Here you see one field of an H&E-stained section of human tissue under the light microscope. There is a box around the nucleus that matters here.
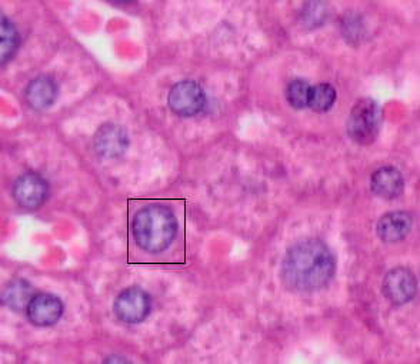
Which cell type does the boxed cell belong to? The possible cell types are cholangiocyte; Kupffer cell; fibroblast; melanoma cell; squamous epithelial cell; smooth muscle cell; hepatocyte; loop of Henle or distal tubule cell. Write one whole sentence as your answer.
In cellular terms, the boxed cell is a hepatocyte.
